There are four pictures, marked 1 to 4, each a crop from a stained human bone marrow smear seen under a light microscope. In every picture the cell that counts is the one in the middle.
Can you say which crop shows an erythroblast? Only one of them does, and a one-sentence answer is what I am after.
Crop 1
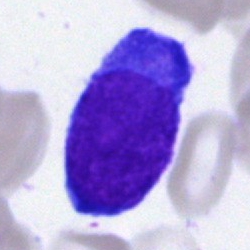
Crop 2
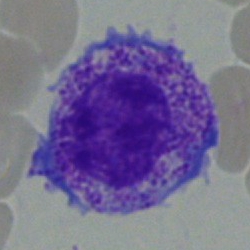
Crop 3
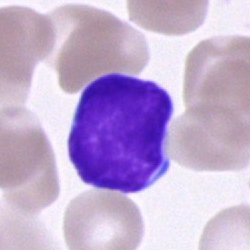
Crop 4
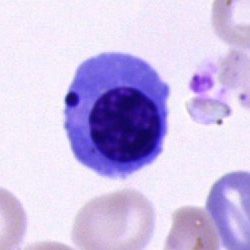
In the set of crops, crop 4 is the one that contains an erythroblast.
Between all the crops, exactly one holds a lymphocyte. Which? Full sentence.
So the crop with a lymphocyte at its center is crop 3.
